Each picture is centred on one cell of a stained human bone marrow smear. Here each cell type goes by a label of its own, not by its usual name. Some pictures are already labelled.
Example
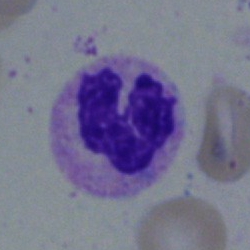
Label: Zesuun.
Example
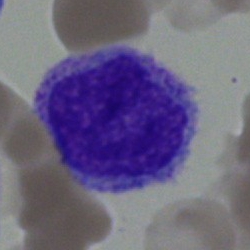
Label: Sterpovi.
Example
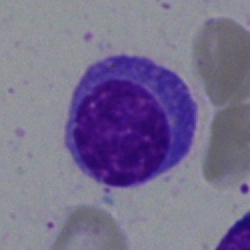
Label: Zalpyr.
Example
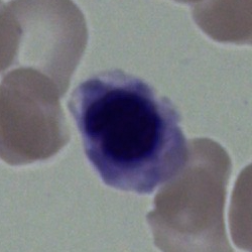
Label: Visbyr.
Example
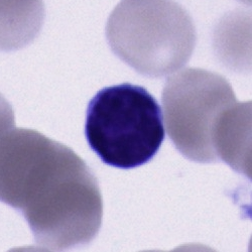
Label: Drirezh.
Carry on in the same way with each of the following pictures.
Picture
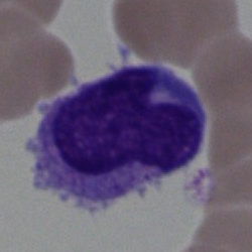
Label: Sterpovi.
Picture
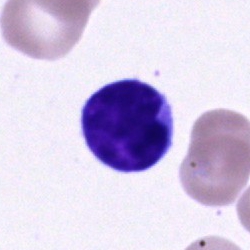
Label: Drirezh.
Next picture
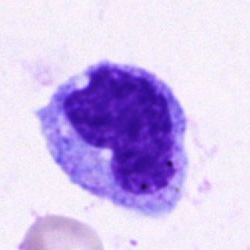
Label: Sterpovi.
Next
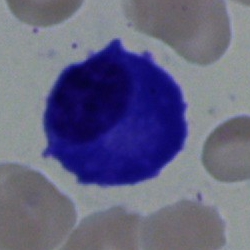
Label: Zalpyr.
